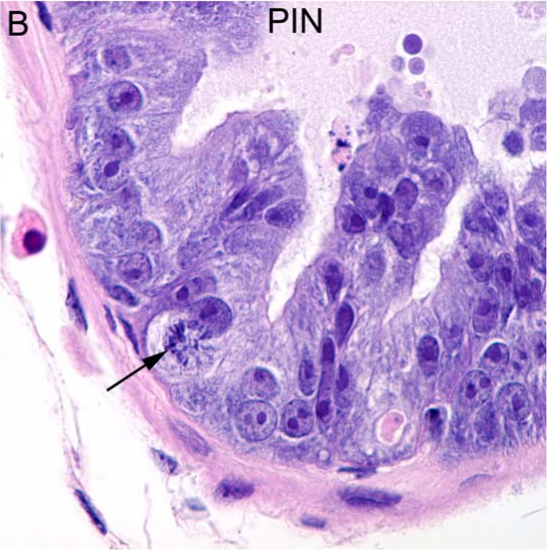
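A prostate gland is filled with crowded, piled-up atypical epithelial cells forming folds and projections that narrow the lumen to slit-like spaces. The cells have abundant pale purple cytoplasm and enlarged nuclei that vary in shape from round to elongated, many with pale cleared chromatin, distinct nuclear outlines and one or more prominent dark nucleoli. Near the base, a cell in division shows a cluster of condensed dark chromatin threads. The gland is bounded by a thin pink stromal layer with flattened nuclei, and a few loose round cells lie in the lumen.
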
